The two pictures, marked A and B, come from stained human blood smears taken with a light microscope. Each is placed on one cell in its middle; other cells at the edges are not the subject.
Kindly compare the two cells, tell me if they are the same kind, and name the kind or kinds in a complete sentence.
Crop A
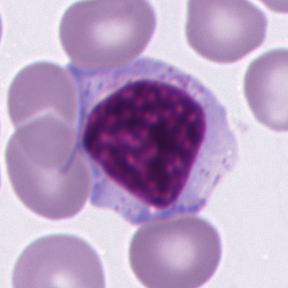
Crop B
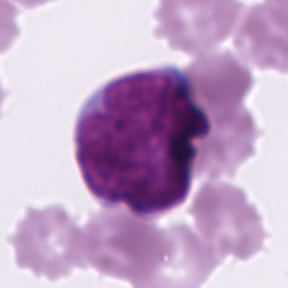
No, crop A is where a large granular lymphocyte is shown, and crop B is where a myeloblast is shown.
